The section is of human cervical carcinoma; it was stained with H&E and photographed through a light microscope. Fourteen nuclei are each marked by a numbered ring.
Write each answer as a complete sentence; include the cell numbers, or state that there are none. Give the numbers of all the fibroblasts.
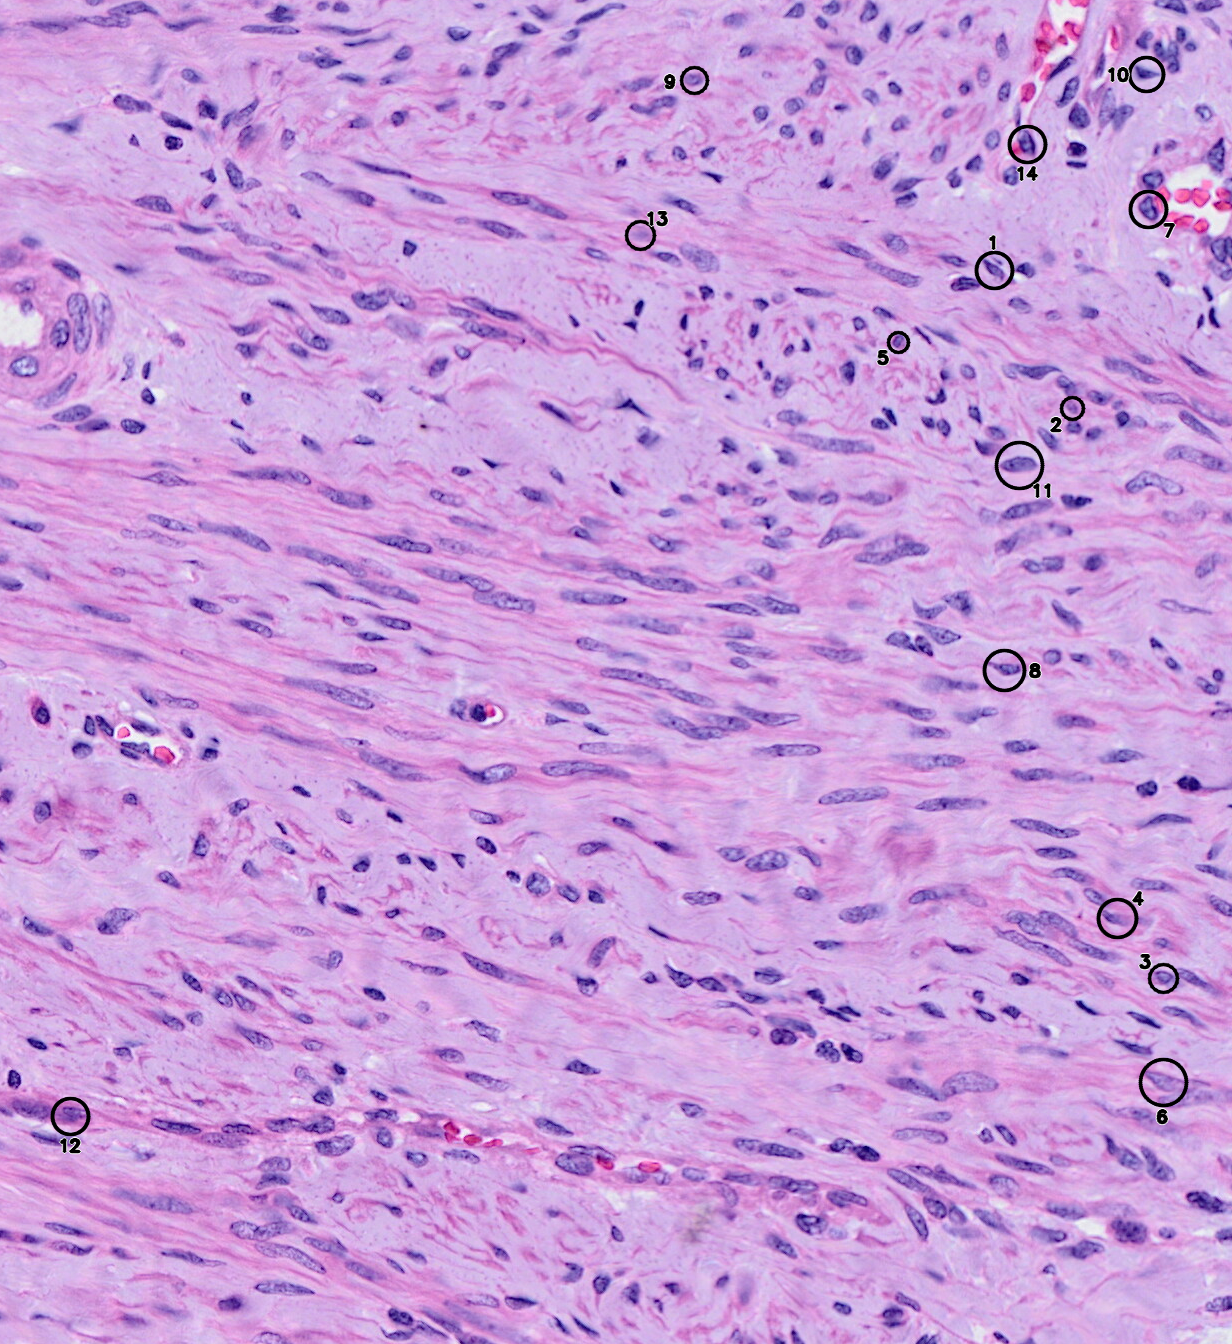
The cells with the number labels 1, 10 and 11 are fibroblasts.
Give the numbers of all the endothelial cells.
In short, the numbered cells 7, 12 and 14 are endothelial cells.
